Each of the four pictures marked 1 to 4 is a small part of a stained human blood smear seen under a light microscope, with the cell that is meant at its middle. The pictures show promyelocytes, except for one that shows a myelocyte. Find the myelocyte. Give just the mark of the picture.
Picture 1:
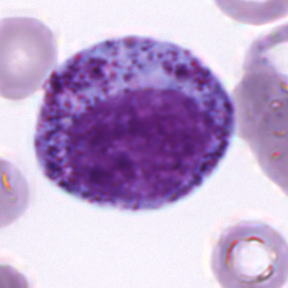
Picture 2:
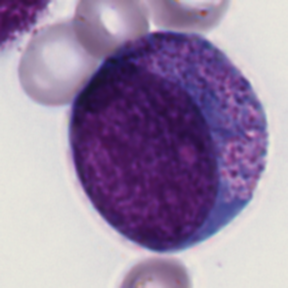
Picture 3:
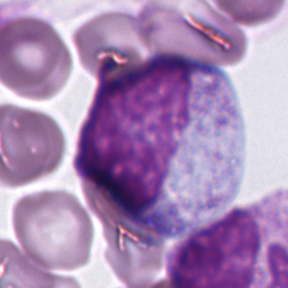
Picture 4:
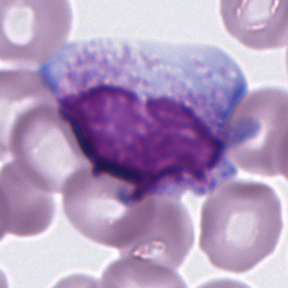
3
